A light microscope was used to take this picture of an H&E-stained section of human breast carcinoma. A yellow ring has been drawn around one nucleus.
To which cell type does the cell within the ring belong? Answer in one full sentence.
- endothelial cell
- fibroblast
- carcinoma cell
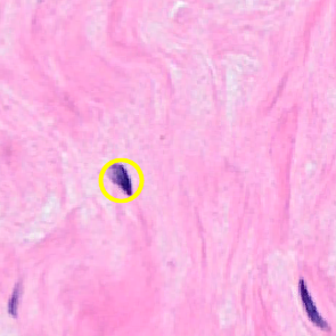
In this field of tissue, the cell within the ring is a fibroblast.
